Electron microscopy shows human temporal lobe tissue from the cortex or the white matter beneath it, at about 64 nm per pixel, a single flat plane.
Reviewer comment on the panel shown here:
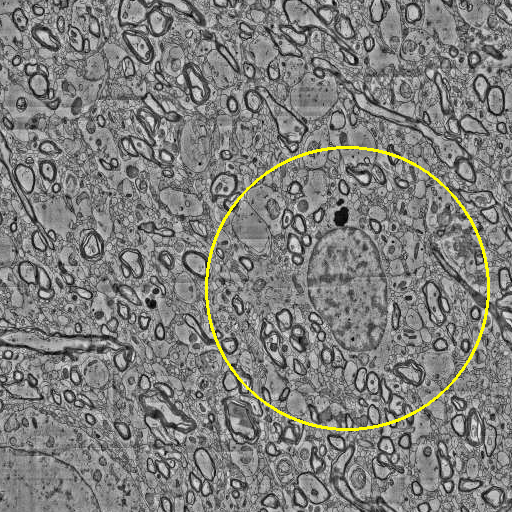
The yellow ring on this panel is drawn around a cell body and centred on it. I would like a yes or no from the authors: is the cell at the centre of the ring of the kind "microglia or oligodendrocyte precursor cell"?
no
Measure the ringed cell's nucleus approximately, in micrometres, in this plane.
Approximately 8 micrometres long and 5 micrometres wide, so clearly longer than it is wide in this plane.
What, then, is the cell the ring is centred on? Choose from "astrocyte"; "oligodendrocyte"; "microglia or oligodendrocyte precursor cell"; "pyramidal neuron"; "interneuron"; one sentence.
What the ring encloses here is an oligodendrocyte.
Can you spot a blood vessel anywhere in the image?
No.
